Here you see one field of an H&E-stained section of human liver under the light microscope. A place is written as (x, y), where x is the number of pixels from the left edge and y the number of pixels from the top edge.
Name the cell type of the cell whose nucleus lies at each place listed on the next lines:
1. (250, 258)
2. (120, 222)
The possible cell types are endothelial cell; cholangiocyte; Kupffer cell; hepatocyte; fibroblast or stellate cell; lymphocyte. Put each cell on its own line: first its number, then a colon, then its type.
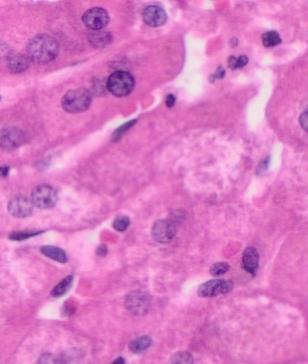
1: Kupffer cell
2: lymphocyte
